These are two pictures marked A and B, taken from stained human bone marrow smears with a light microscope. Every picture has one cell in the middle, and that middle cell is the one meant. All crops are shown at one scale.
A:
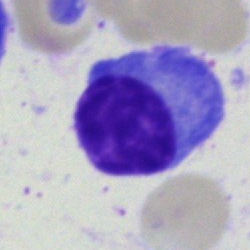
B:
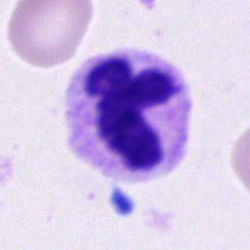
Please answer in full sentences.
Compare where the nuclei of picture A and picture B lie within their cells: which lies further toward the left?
It is the nucleus in picture A that lies further toward the left of its cell.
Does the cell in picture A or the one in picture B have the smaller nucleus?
The nucleus in picture B is smaller; the one in picture A has about 1.5 times its area.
